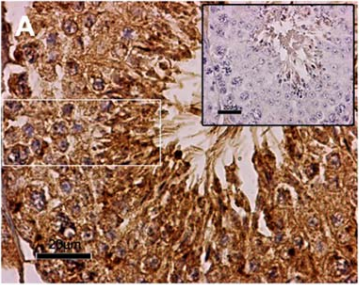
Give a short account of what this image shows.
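This is a cross-section of a seminiferous tubule, its epithelium made of layered germ cells around a central lumen. Near the base lie larger rounded cells with coarse chromatin, and above them many round spermatids with pale round nuclei. Toward the lumen, elongated spermatids with slender heads are arranged in radiating groups, and fine tails reach into the lumen. The cytoplasm throughout the epithelium is intensely brown, with blue nuclei standing out against it.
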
